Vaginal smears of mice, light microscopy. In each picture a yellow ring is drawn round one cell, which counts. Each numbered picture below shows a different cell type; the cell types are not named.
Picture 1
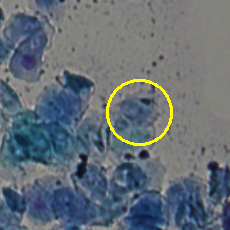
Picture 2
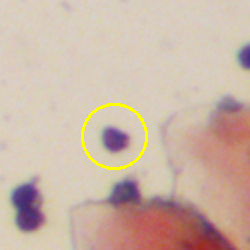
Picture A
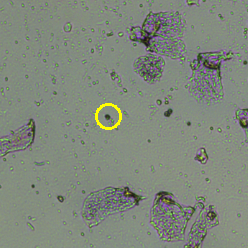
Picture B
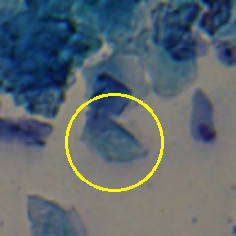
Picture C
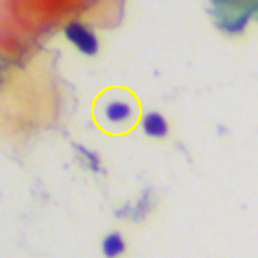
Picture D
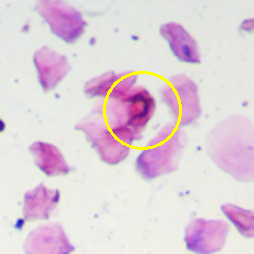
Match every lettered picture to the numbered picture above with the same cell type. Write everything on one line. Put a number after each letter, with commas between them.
A 2, B 1, C 2, D 1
